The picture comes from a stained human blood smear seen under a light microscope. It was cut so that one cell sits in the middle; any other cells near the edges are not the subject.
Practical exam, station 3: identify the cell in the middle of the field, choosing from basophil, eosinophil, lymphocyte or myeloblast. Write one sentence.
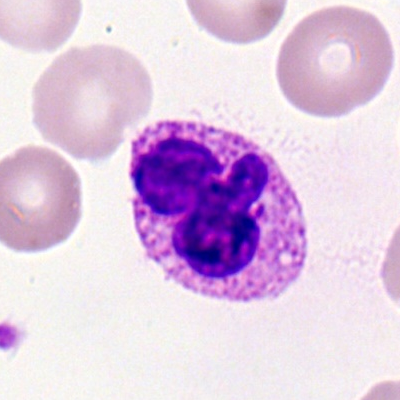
At the crop's centre, the cell is a basophil.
